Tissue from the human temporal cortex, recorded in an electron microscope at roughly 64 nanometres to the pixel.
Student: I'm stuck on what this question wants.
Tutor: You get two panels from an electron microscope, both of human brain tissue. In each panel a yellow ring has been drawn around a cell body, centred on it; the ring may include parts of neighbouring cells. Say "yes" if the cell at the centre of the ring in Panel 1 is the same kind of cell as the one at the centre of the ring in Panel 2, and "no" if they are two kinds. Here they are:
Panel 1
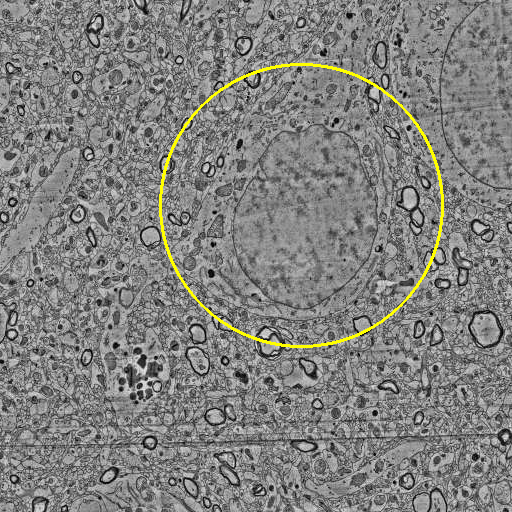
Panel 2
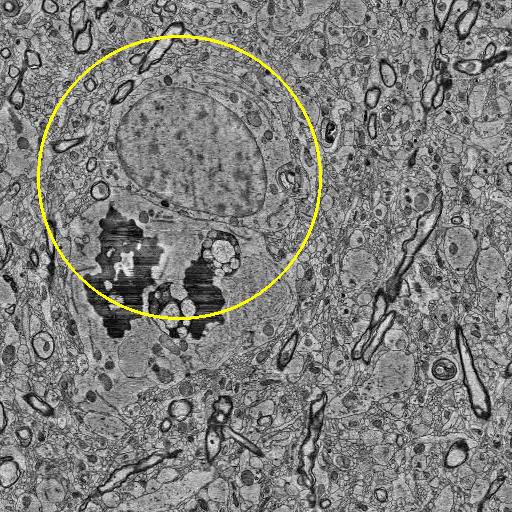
no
